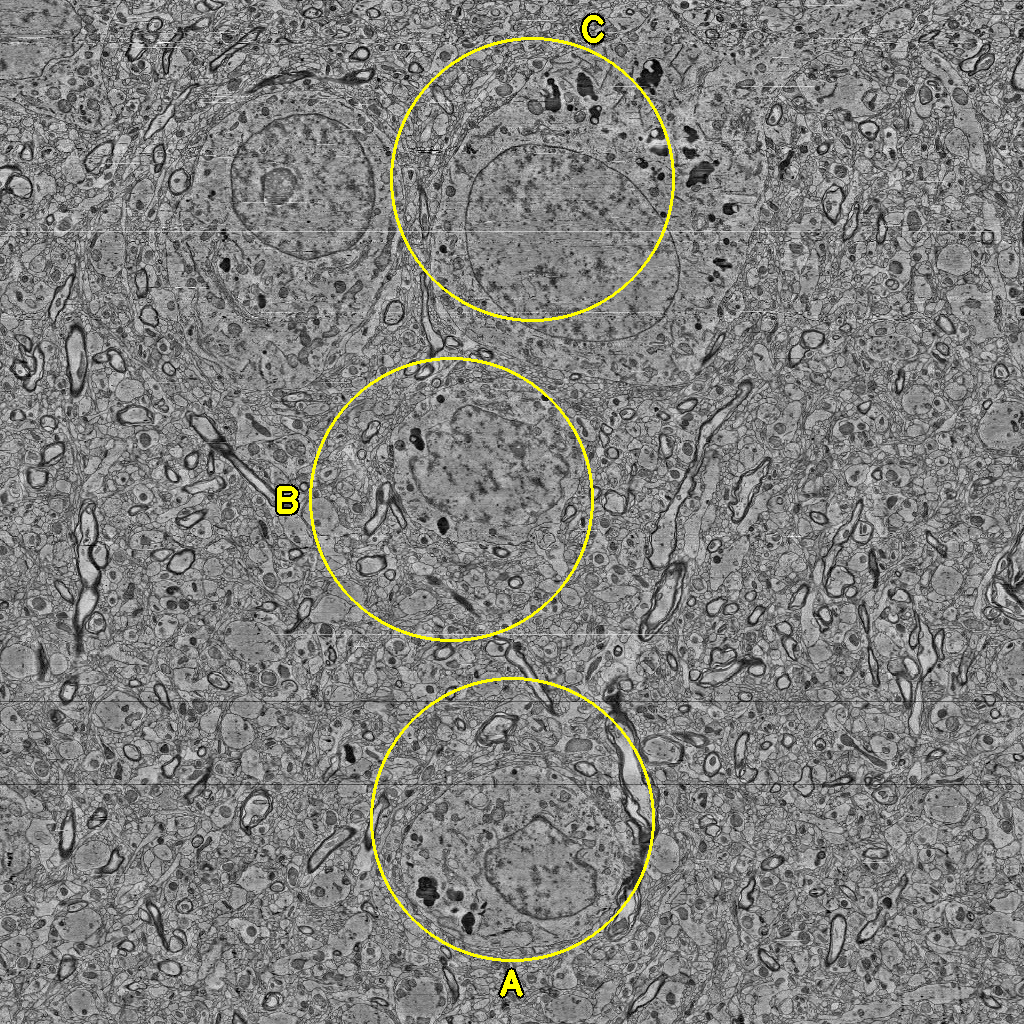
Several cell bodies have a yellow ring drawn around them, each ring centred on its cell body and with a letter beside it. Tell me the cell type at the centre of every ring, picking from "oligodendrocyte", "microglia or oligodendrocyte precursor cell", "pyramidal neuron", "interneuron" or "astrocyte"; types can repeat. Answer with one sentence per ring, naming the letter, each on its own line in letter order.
In ring A, the central cell is a pyramidal neuron.
In ring B, the central cell is an interneuron.
In ring C, the central cell is a pyramidal neuron.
